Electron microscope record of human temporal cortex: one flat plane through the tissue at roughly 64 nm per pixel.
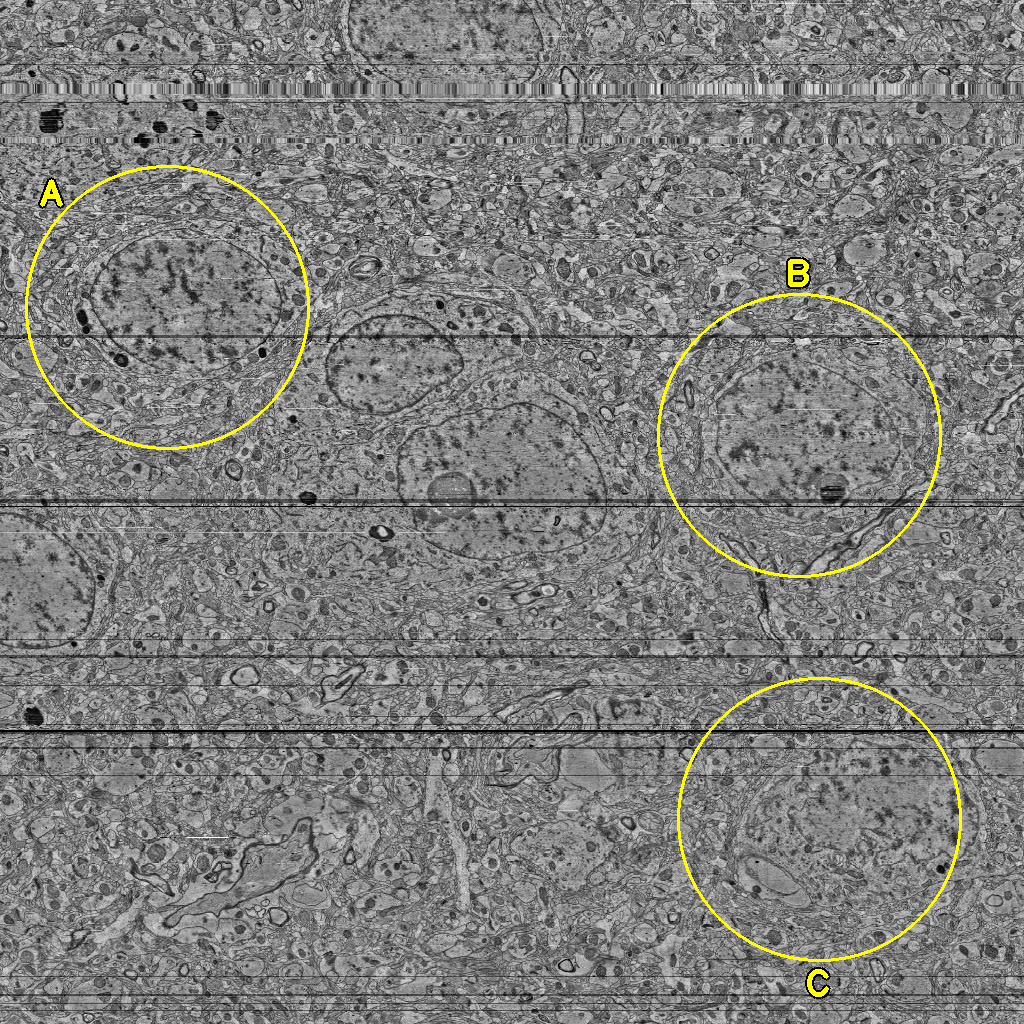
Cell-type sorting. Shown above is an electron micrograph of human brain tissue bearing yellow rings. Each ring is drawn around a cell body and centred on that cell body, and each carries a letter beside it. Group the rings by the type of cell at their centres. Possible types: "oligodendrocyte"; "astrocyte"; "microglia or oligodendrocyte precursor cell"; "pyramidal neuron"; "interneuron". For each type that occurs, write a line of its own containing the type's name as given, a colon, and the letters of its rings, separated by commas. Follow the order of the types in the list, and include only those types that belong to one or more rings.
pyramidal neuron: A, B
interneuron: C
